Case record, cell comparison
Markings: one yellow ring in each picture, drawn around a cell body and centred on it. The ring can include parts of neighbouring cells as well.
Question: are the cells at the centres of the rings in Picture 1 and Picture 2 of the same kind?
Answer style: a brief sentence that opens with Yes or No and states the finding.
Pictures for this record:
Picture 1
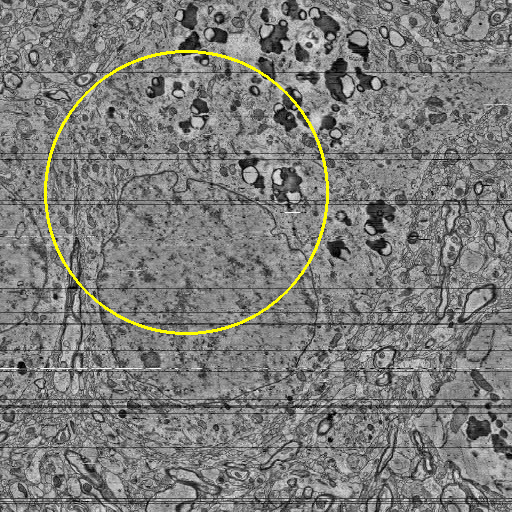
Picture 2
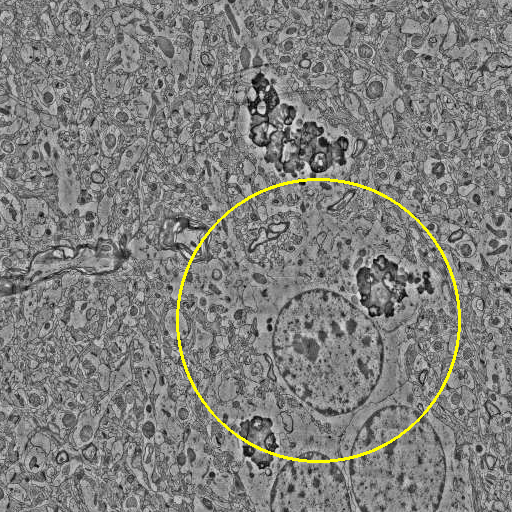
No, the cells in Picture 1 and Picture 2 are of two kinds.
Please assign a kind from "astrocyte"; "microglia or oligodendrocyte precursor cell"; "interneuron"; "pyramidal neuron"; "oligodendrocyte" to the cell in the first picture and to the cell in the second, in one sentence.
In the first picture we have a pyramidal neuron, and in the second, an astrocyte.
